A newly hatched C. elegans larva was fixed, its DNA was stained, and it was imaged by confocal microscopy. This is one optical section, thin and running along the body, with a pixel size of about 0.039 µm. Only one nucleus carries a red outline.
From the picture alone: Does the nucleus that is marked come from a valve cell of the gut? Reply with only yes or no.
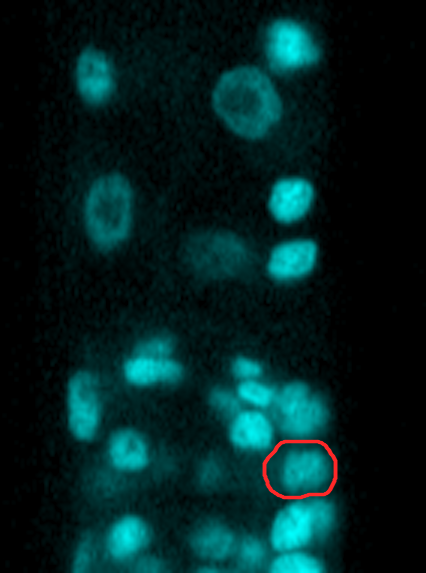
no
